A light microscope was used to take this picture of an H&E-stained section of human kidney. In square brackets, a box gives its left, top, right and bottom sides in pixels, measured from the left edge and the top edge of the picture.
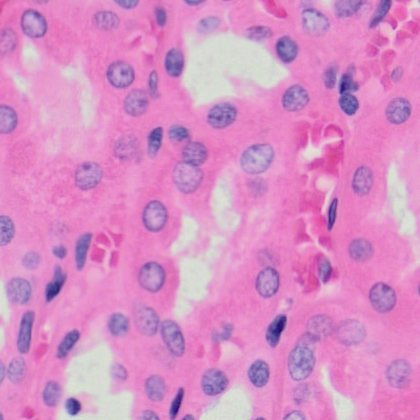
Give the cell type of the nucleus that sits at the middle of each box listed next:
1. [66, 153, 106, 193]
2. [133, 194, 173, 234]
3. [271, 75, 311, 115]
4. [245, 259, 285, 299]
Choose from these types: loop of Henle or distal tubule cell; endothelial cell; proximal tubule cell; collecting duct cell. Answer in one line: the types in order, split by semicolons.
proximal tubule cell; proximal tubule cell; loop of Henle or distal tubule cell; proximal tubule cell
